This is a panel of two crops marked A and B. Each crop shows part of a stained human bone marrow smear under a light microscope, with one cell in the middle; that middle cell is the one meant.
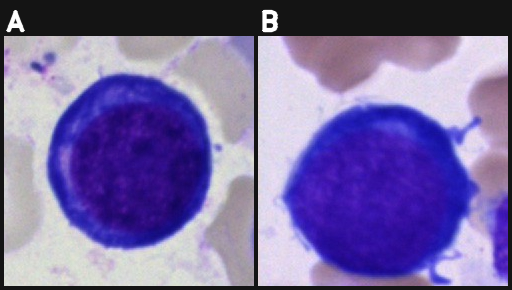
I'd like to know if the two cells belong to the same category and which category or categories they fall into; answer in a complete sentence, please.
Yes, proerythroblasts are the cells shown in both crops.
